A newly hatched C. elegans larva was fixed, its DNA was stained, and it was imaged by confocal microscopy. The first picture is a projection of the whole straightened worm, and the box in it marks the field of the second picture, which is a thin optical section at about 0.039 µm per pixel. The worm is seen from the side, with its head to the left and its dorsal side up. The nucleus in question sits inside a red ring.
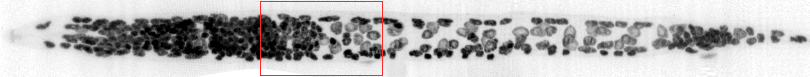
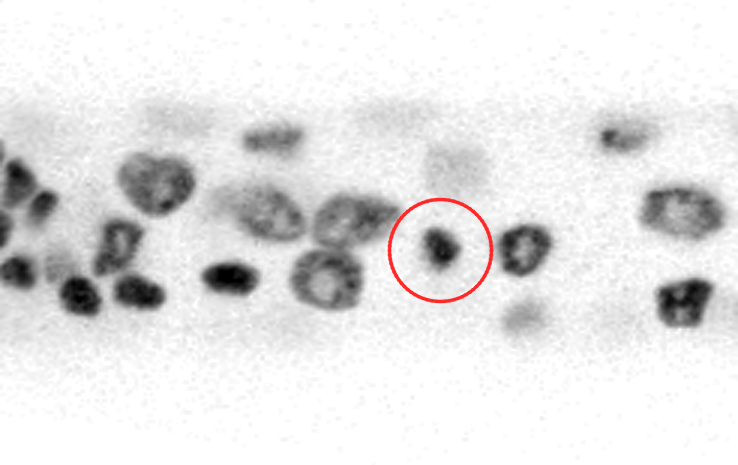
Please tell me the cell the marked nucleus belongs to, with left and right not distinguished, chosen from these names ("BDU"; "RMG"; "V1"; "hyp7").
BDU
